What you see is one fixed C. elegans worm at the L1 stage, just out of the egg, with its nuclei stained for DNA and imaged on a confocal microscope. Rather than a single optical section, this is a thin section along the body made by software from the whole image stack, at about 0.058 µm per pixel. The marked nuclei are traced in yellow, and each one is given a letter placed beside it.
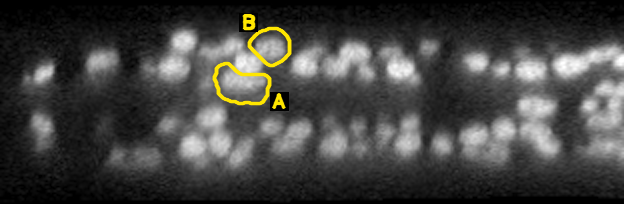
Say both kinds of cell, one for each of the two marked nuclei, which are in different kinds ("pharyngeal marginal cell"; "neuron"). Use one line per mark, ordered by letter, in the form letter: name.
A: pharyngeal marginal cell
B: neuron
